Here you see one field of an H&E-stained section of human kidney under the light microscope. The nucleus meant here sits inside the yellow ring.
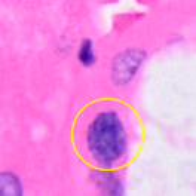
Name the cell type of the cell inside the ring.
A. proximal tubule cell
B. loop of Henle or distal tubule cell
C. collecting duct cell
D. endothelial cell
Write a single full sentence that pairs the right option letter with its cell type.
Here the correct option is B, since the cell inside the ring is a loop of Henle or distal tubule cell.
